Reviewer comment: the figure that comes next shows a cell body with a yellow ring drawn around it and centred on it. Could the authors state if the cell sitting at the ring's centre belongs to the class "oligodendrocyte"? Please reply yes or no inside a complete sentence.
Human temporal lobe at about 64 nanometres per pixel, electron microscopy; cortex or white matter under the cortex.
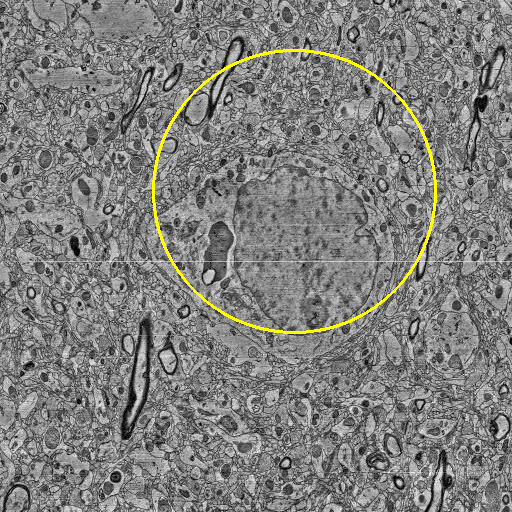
No, in the figure, the cell at the ring's centre belongs to a different class.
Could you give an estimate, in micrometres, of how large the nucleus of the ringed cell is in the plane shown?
Roughly 11 by 9 micrometres in this plane, for the nucleus of the ringed cell.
